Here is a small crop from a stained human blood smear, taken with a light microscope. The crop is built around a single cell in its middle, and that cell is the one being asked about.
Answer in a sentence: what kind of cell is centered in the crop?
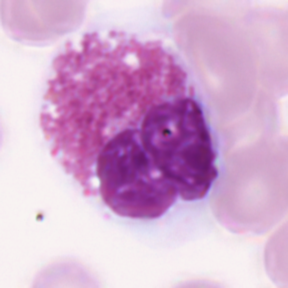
In the centre of this crop there is an eosinophil.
